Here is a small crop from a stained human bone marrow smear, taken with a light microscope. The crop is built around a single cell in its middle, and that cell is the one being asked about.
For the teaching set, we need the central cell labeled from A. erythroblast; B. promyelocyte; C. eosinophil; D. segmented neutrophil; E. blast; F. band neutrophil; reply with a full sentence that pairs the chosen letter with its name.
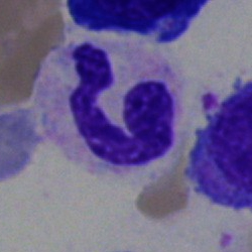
Option D is correct, and the cell in the centre is a segmented neutrophil.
